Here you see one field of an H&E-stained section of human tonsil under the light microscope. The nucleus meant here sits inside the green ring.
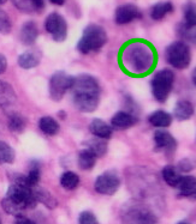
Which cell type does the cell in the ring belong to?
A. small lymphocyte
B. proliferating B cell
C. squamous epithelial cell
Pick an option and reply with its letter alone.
B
